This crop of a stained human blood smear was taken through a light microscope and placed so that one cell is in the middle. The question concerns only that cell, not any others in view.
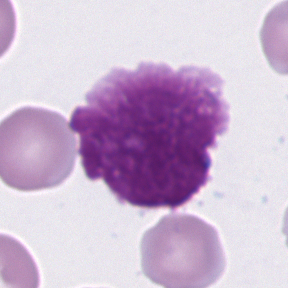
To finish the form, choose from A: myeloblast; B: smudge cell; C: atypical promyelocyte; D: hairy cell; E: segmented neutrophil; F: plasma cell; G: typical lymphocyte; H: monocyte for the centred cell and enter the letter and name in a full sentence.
Since the cell in the centre is a smudge cell, the correct option is B.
